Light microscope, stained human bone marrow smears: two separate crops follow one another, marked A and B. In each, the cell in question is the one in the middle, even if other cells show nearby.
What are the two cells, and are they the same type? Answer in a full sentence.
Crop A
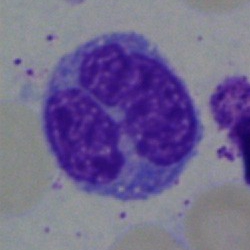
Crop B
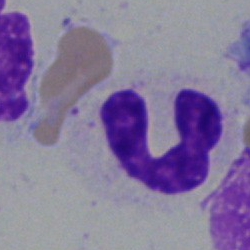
No, crop B holds a band neutrophil, while crop A holds a monocyte.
